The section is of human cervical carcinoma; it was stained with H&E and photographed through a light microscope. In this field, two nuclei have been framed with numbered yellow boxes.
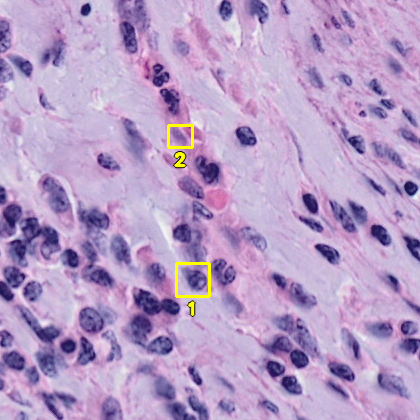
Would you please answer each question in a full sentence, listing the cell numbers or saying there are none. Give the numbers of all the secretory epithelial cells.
To be brief, no numbered cell here counts among the secretory epithelial cells.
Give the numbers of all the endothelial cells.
Only cell 2 is an endothelial cell; none of the other numbered cells is.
